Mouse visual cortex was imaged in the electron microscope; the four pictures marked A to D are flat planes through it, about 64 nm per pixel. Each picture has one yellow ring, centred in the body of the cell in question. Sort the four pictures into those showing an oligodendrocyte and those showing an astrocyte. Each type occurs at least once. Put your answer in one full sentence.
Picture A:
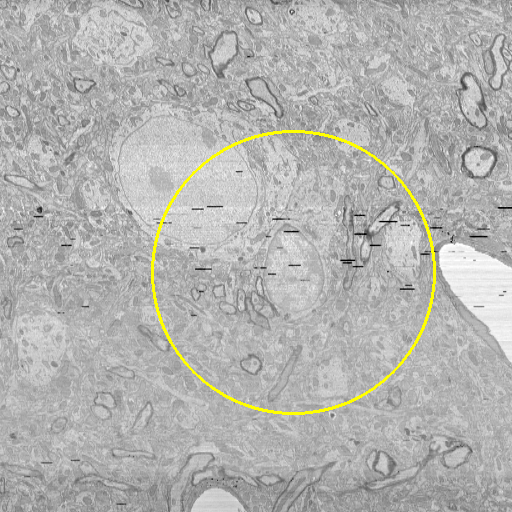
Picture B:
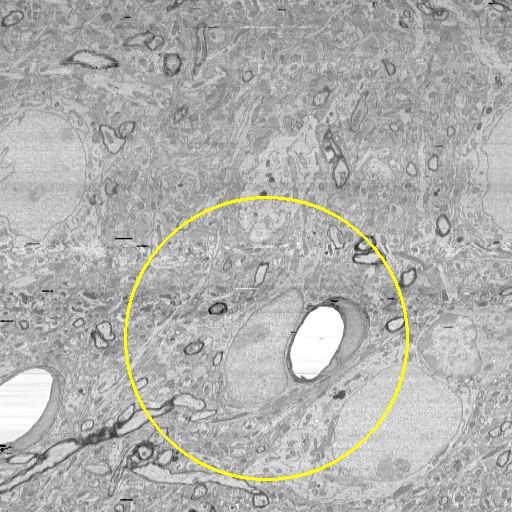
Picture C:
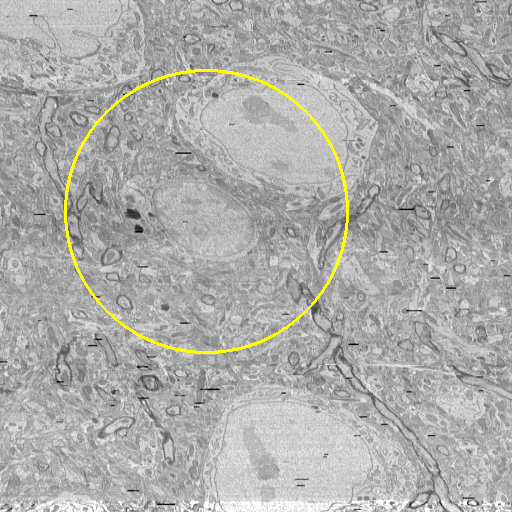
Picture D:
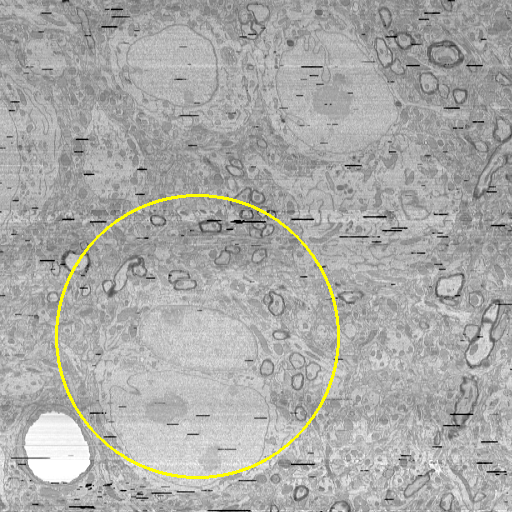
Pictures A and C show oligodendrocytes, while pictures B and D show astrocytes.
